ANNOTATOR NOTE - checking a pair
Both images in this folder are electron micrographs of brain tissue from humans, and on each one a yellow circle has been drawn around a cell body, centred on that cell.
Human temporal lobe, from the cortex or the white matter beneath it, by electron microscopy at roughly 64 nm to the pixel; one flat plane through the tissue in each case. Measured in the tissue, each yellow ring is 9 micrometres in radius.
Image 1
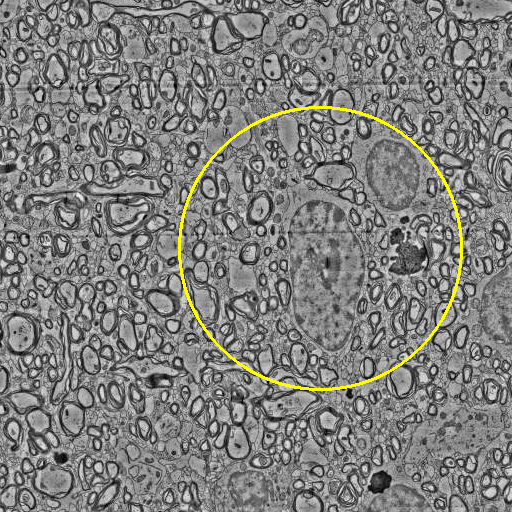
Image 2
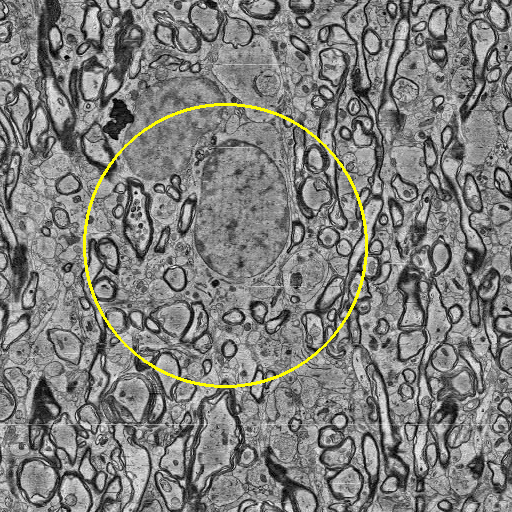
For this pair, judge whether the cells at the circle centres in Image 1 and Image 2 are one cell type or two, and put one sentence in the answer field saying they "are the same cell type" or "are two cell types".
For this pair, the cells at the circle centres in Images 1 and 2 are the same cell type.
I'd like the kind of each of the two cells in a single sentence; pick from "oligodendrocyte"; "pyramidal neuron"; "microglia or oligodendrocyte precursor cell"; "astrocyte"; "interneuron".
In both pictures the ring is centred on a microglial cell or oligodendrocyte precursor cell.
